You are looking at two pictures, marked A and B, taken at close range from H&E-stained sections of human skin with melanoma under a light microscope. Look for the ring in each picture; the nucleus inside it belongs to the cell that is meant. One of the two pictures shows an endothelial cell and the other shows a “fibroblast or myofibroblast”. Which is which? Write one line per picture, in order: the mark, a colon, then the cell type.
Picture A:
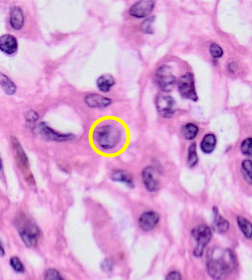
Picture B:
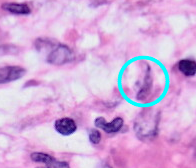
A: endothelial cell
B: fibroblast or myofibroblast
